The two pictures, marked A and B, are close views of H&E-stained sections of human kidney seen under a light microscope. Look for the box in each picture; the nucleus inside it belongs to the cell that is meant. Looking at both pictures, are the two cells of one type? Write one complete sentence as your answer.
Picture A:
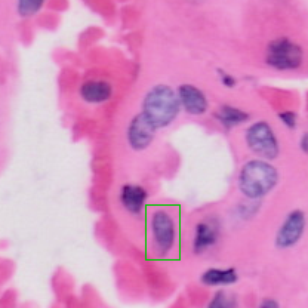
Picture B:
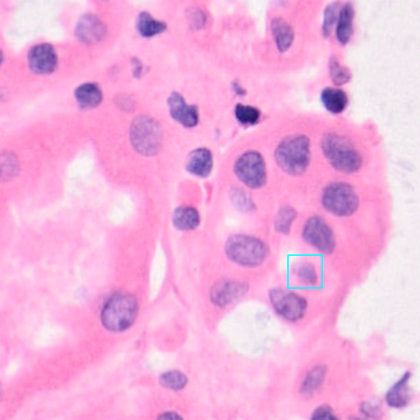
Yes, both are collecting duct cells.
